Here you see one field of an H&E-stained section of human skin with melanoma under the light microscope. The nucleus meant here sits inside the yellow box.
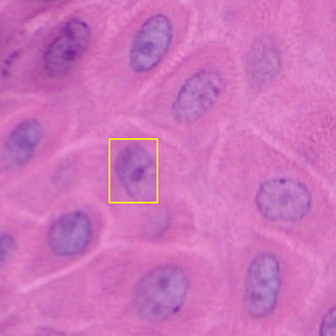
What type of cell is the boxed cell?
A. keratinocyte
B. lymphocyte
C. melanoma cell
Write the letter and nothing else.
A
